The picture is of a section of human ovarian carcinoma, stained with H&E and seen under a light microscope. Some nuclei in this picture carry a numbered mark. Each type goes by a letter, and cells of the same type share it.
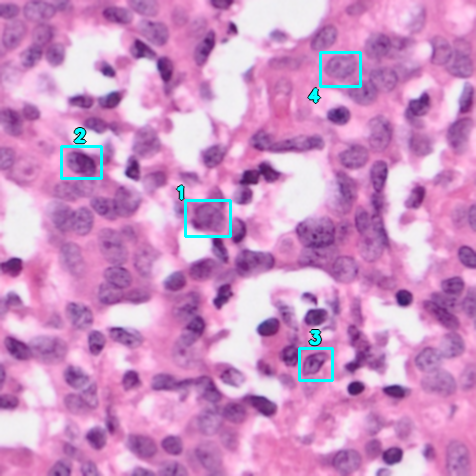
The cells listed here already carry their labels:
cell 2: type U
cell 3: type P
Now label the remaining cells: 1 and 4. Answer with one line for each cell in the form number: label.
1: type U
4: type U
